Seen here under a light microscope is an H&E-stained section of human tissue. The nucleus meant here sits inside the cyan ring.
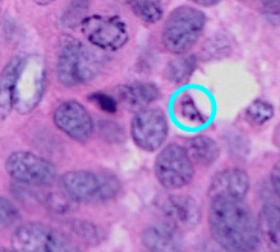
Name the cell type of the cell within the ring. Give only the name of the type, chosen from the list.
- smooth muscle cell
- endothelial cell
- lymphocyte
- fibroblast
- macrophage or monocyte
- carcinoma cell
macrophage or monocyte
